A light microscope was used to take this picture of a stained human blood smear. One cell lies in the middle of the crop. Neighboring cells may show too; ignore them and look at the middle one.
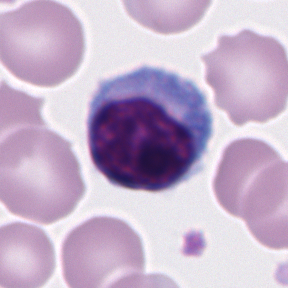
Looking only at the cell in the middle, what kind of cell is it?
typical lymphocyte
